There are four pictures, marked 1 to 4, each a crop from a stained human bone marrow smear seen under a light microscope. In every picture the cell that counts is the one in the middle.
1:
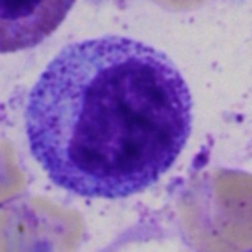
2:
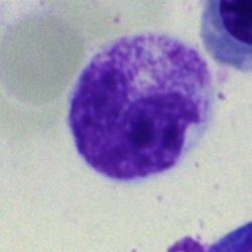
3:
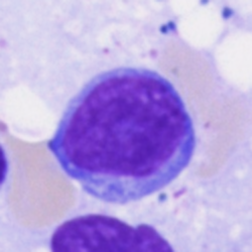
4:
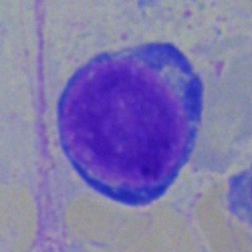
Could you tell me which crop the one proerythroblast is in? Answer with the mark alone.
4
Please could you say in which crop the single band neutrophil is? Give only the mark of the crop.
2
